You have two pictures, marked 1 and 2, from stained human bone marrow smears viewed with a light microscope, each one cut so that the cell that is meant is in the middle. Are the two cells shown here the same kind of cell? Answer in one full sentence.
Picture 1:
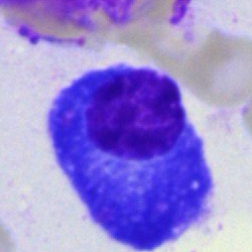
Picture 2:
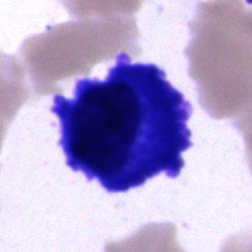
Yes, the two pictures both show plasma cells.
